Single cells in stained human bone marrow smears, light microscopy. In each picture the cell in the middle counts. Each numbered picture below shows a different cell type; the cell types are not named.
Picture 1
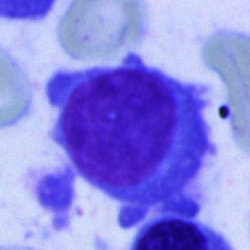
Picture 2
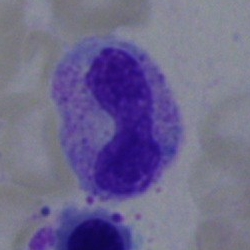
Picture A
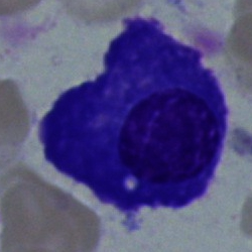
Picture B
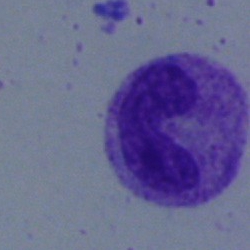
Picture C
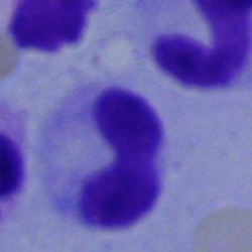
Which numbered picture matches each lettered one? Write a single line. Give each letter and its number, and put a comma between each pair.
A 1, B 2, C 2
